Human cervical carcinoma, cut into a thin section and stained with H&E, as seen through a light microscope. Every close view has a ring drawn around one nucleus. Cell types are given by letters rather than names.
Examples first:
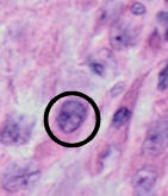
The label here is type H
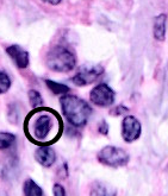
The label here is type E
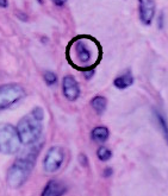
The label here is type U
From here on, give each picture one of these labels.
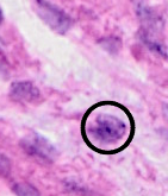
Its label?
type H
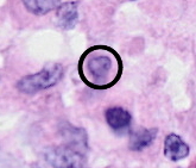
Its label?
type H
